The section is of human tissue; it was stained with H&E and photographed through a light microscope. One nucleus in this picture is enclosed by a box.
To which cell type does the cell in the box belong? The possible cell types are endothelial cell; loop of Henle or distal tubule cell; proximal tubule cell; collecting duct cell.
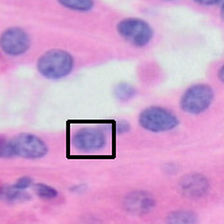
loop of Henle or distal tubule cell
